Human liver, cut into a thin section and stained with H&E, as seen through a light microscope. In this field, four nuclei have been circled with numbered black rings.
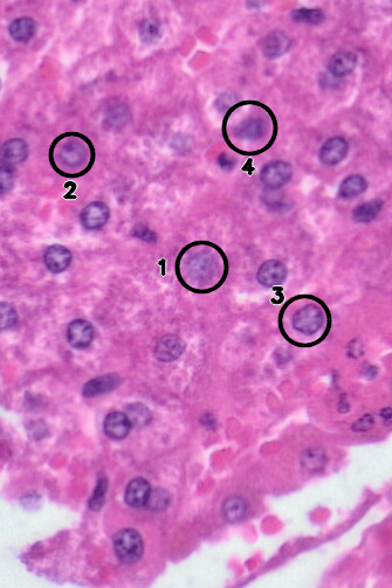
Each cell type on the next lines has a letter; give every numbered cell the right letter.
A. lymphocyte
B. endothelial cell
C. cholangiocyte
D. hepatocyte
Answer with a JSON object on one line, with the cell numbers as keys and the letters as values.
{"1": "D", "2": "D", "3": "D", "4": "B"}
